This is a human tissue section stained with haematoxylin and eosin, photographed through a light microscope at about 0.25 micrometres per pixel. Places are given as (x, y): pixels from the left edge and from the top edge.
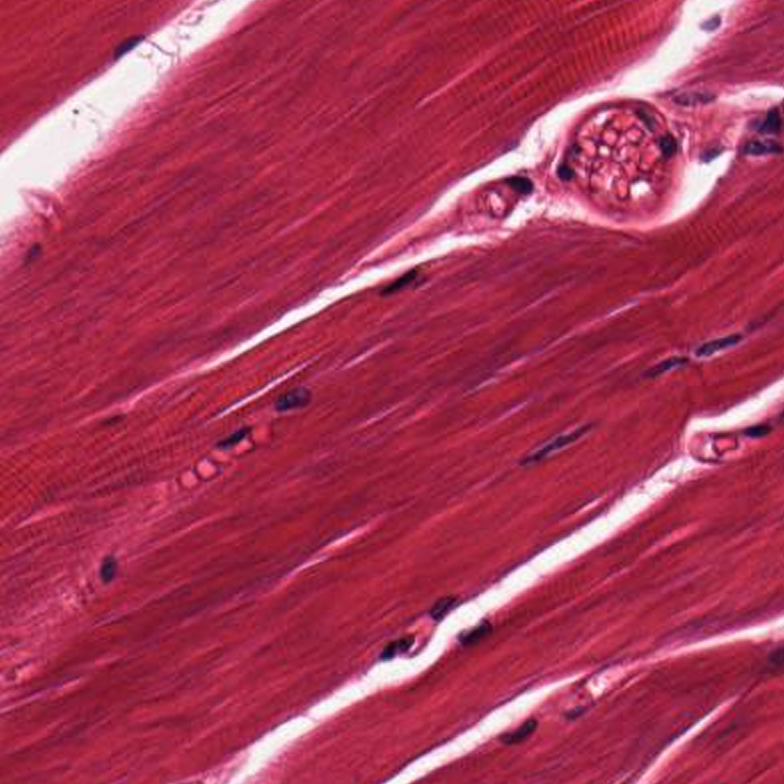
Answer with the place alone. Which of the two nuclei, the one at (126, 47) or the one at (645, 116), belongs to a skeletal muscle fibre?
(126, 47)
